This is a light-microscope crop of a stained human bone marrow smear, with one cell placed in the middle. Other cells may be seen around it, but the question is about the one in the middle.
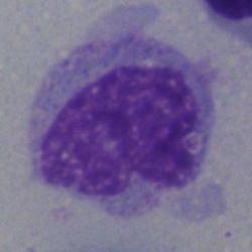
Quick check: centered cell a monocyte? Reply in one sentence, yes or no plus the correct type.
Yes, this is a monocyte, the cell in the middle of the crop.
